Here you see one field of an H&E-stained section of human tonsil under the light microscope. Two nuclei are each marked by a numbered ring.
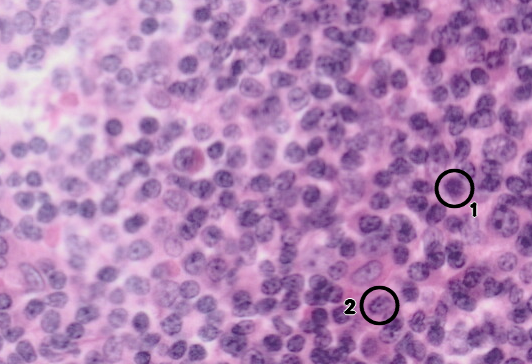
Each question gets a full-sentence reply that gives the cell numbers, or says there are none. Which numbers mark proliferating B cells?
Only the cell with number 1 is a proliferating B cell.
